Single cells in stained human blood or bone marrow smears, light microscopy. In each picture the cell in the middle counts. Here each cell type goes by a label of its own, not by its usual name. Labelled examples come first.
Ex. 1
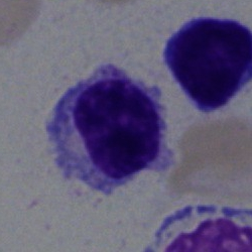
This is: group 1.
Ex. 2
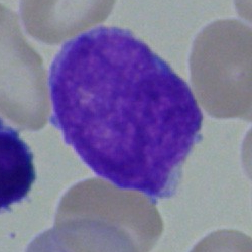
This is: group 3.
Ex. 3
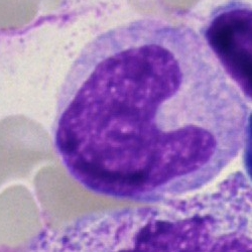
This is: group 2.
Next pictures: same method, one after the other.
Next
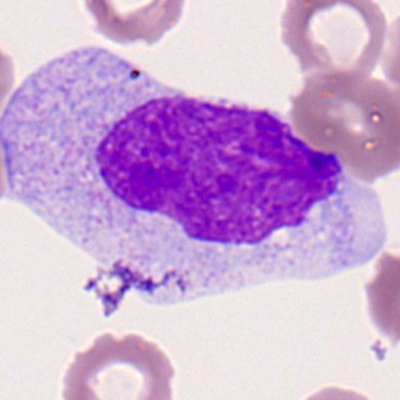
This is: group 2.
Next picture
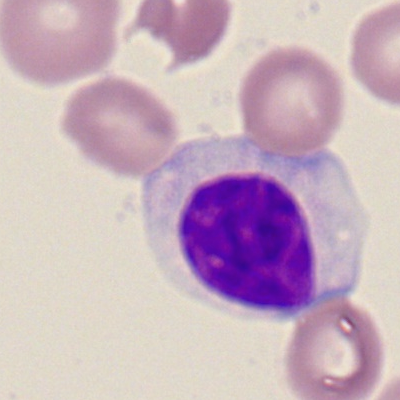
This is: group 1.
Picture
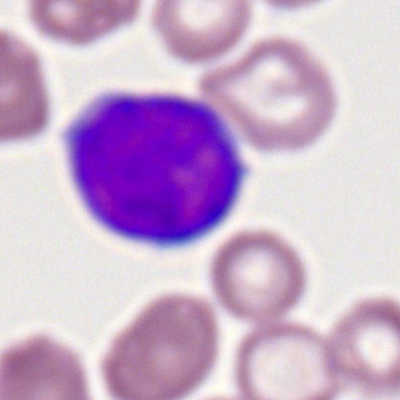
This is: group 3.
